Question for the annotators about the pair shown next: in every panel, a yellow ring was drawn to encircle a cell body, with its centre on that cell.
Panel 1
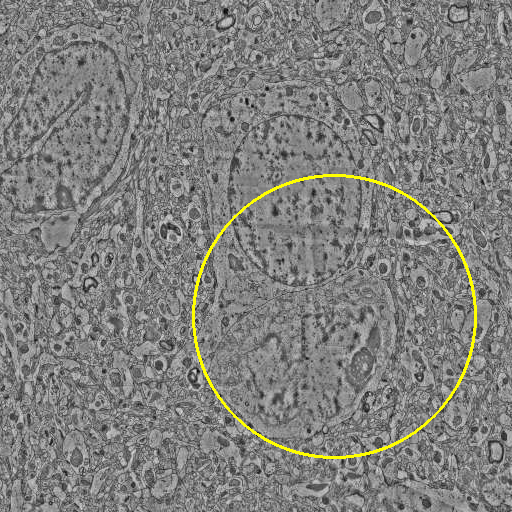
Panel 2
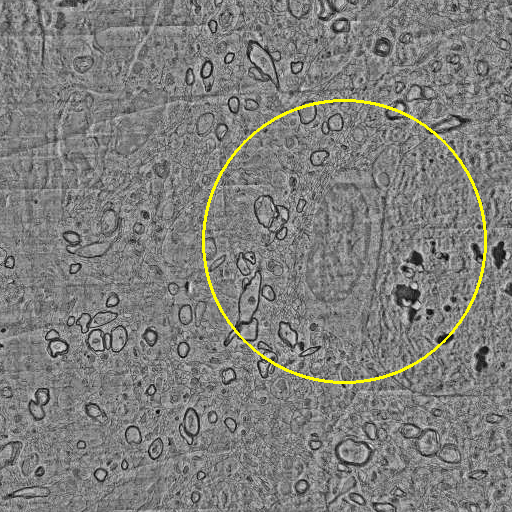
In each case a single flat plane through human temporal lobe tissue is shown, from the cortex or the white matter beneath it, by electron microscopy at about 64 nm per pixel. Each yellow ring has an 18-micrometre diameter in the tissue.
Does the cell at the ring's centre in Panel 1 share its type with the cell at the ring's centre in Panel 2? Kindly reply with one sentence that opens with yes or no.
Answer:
No, in Panels 1 and 2 the cells at the ring centres belong to separate types.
